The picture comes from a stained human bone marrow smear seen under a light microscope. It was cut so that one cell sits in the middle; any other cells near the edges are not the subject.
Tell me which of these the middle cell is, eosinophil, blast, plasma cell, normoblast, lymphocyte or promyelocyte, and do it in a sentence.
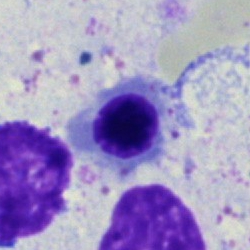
The centrally positioned cell in the crop represents a normoblast.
